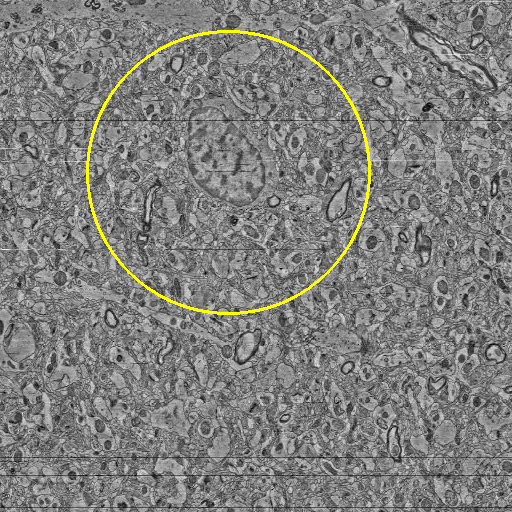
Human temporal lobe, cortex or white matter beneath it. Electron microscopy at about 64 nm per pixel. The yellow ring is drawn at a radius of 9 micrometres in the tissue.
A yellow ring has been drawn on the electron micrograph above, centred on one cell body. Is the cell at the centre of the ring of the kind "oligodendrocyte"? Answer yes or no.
yes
